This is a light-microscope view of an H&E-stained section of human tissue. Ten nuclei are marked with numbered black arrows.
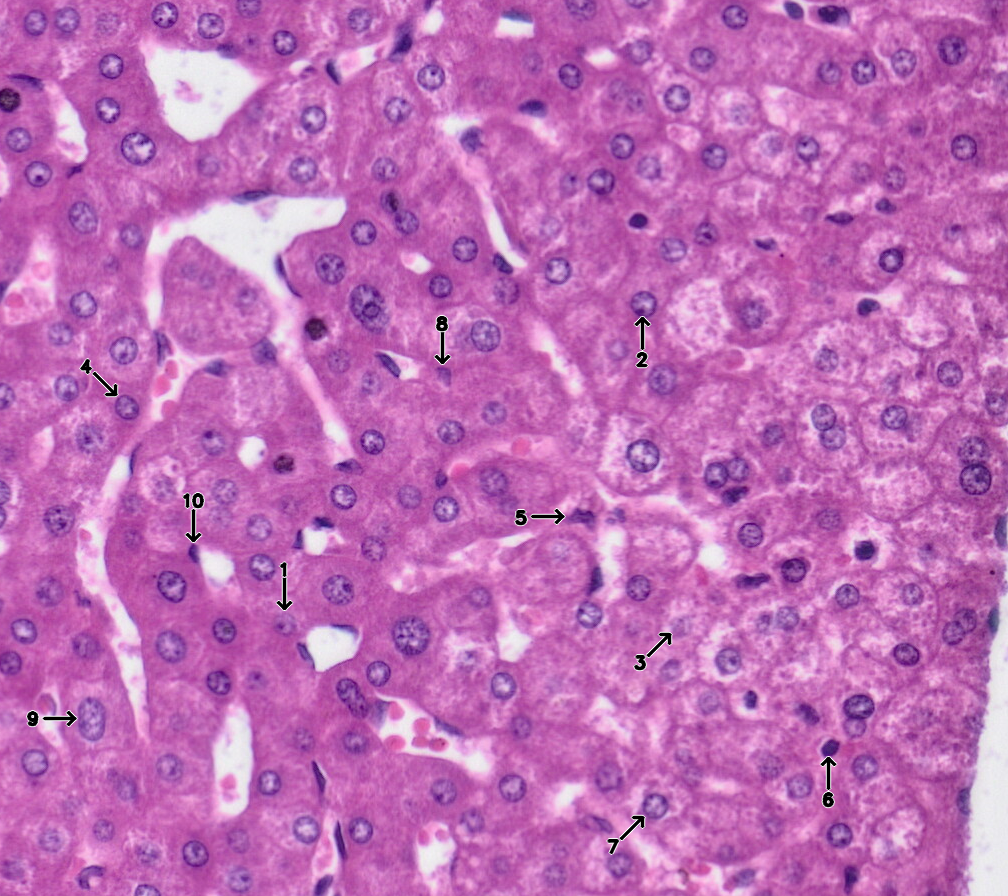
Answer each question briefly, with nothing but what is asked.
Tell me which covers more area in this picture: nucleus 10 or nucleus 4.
4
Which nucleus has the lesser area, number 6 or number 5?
6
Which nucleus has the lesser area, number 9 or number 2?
2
